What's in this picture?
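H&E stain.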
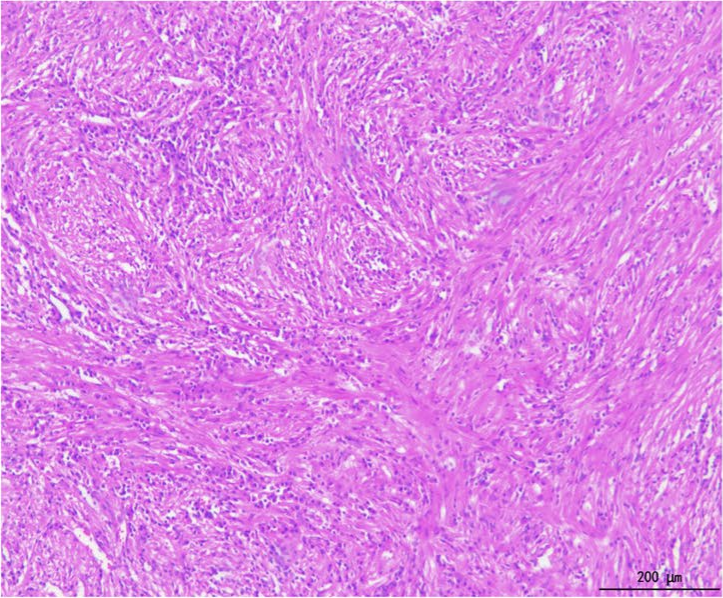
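At low power, spindle-shaped cells are arranged in fascicles in a background of chronic inflammatory cells. The fascicles run in different directions, crossing and curving around one another. Some areas are more cellular and darker purple, with many small dark nuclei. Other areas are paler pink, with fewer nuclei between the bundles.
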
